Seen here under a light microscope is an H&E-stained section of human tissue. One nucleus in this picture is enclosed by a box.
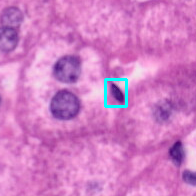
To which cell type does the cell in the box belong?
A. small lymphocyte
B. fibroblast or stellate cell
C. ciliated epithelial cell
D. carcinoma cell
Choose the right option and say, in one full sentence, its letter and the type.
As the cell in the box is a fibroblast or stellate cell, the correct choice is option B.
